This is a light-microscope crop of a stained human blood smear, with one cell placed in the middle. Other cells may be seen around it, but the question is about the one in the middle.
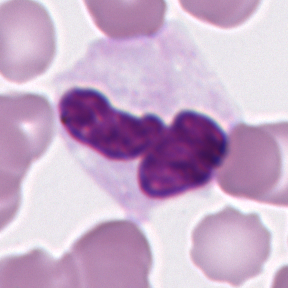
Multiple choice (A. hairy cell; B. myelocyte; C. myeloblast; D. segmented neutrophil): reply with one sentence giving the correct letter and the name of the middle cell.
The one to choose is option D, as the cell in the middle is a segmented neutrophil.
